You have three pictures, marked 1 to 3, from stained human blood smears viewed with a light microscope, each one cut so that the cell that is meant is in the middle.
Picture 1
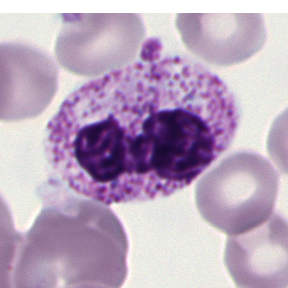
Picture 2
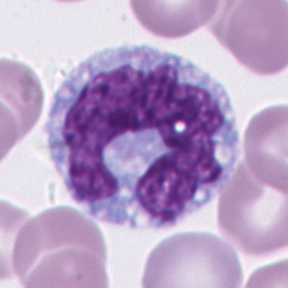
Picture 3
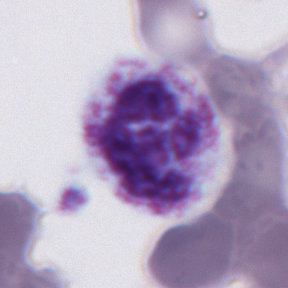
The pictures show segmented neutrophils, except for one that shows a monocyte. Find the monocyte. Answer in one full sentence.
The monocyte is the one in picture 2.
